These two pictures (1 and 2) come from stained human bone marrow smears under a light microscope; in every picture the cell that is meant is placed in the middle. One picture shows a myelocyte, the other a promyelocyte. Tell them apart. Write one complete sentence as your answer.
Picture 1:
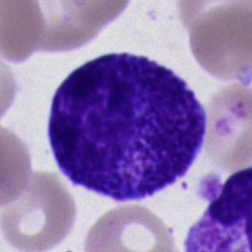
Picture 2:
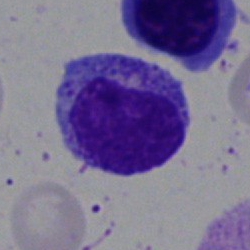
The cell in picture 1 is a promyelocyte, and the one in picture 2 is a myelocyte.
